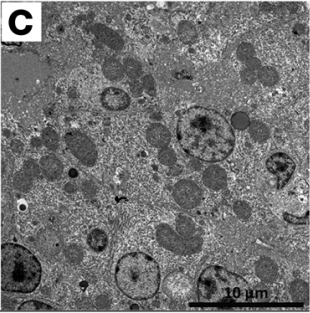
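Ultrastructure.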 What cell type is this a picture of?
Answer: hepatocytes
